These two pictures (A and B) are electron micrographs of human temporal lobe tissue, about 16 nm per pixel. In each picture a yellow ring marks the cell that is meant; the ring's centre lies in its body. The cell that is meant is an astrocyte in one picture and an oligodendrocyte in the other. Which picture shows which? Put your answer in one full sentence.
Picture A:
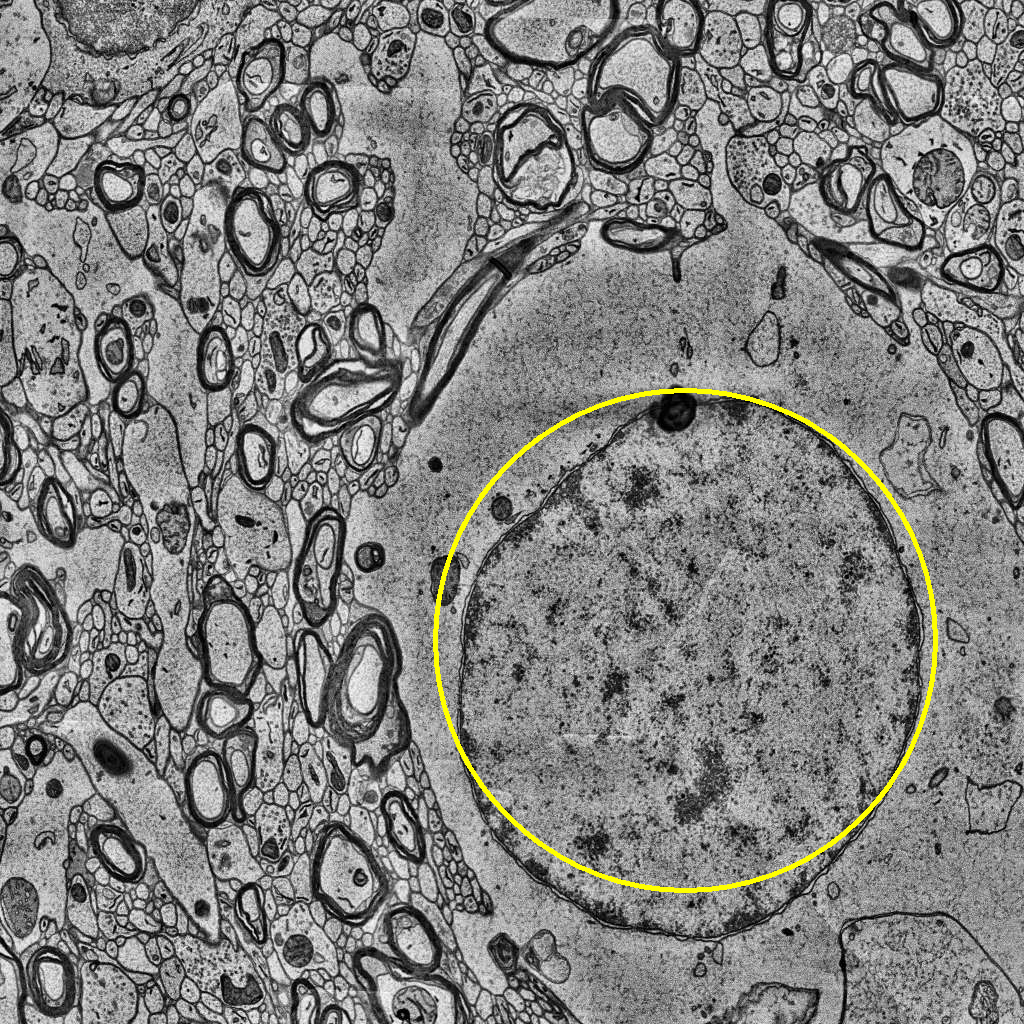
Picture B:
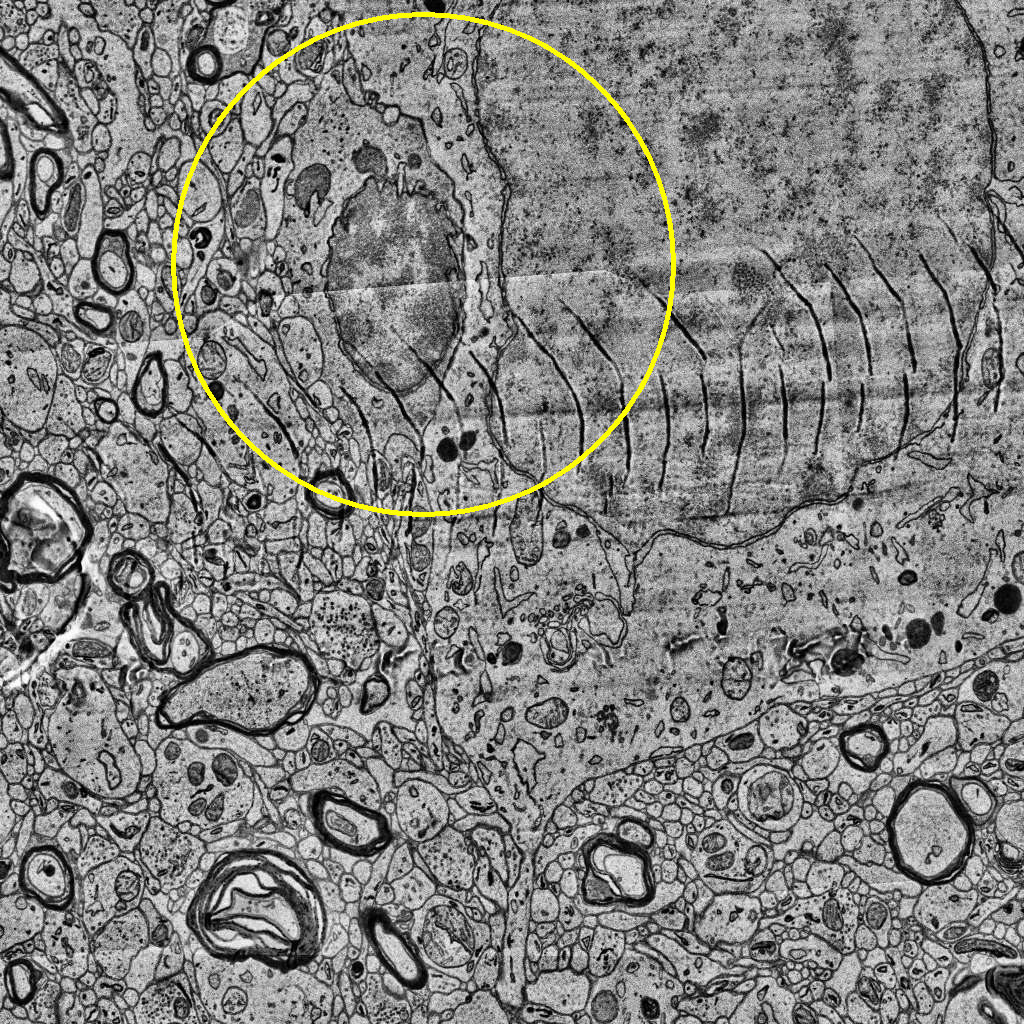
In picture A the cell is an astrocyte; in picture B, an oligodendrocyte.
